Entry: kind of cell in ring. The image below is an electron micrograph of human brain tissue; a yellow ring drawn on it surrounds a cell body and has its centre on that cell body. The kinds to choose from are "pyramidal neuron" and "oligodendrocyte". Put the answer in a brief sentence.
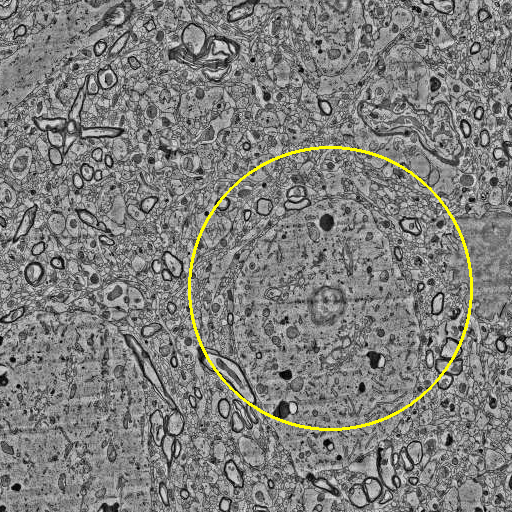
The ring has been drawn around a pyramidal neuron.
